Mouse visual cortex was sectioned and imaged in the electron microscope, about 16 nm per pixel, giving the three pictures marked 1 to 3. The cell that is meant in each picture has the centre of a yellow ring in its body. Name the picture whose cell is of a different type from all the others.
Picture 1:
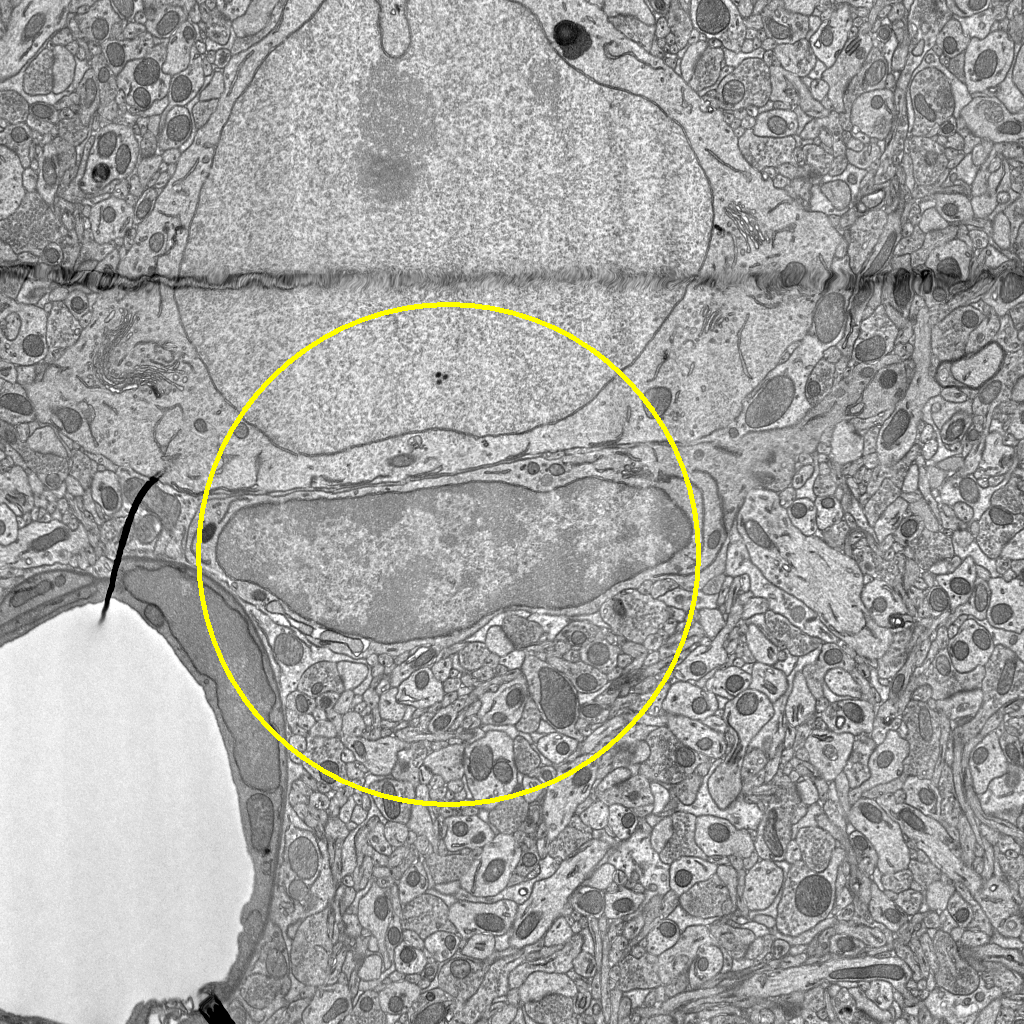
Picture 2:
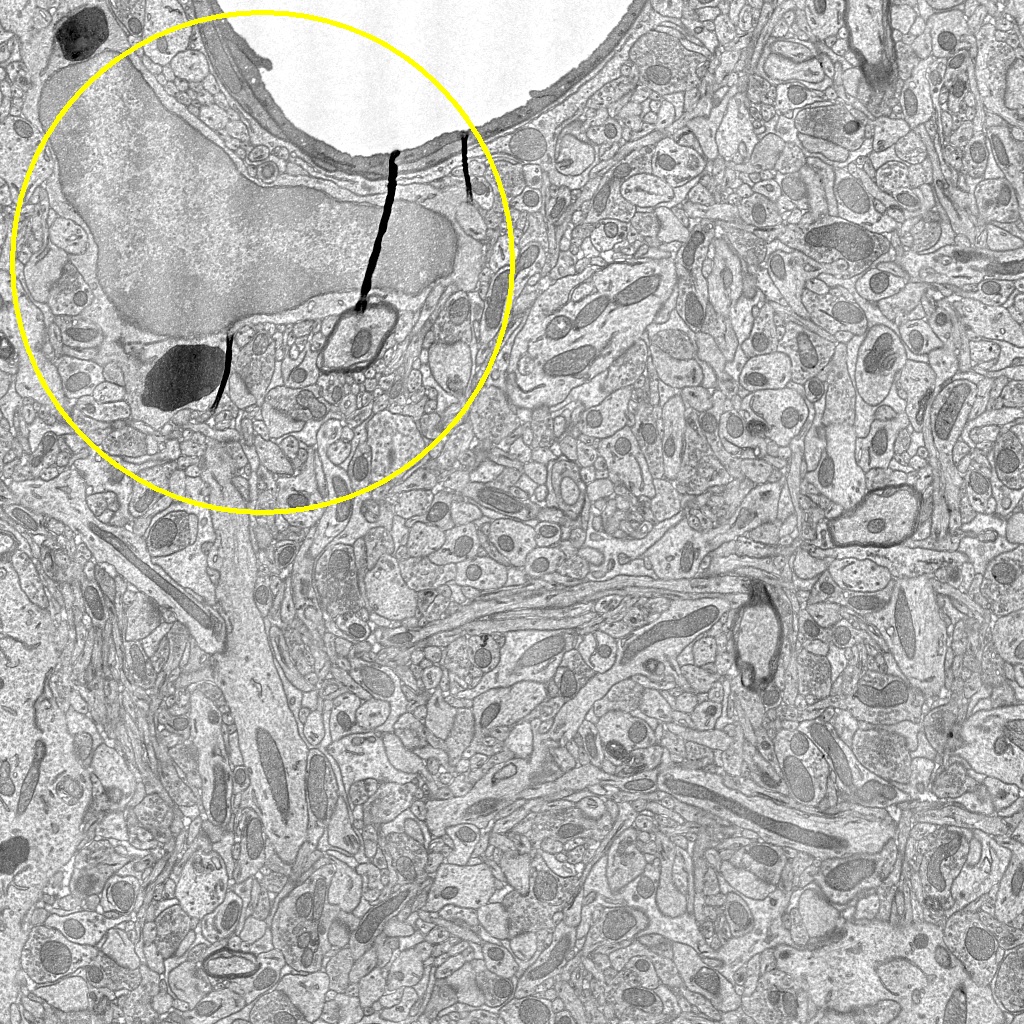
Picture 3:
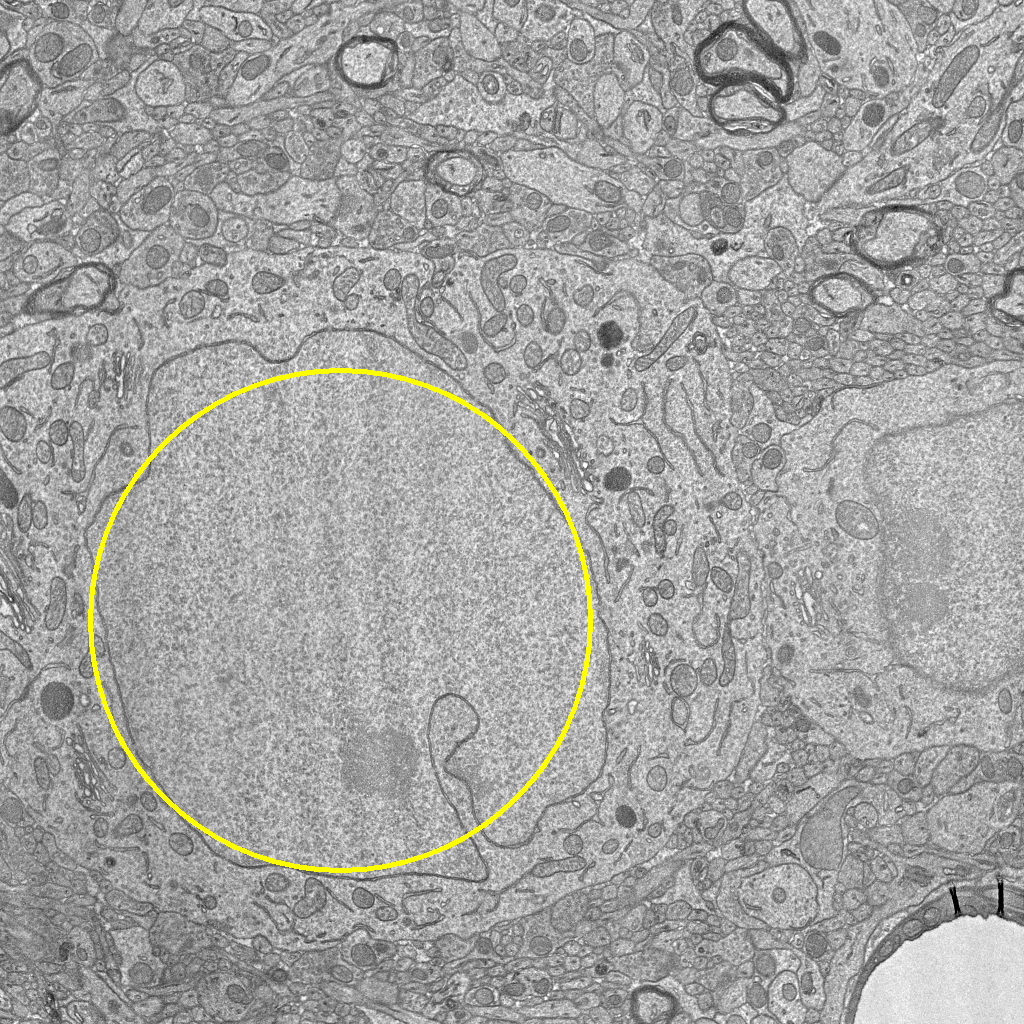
All pictures except 3 show microglial cells; picture 3 shows an inhibitory neuron.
